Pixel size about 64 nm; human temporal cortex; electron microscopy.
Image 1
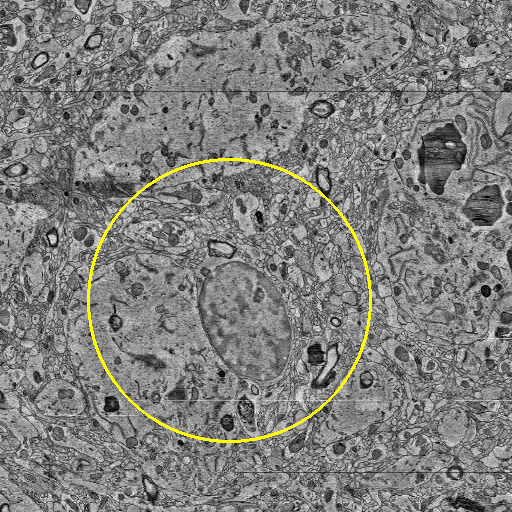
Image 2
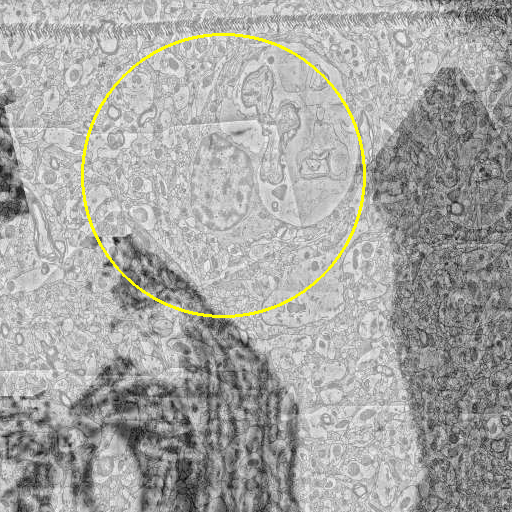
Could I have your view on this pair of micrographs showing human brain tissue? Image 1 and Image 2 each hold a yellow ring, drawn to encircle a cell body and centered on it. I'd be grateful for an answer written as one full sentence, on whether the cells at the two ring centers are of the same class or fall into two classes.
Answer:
The cells at the centers of the two rings are of the same class.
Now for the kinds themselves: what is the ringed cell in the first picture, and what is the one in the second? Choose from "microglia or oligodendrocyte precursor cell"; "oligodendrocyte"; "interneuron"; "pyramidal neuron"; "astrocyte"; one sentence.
Each of the ringed cells, first and second, is an oligodendrocyte.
